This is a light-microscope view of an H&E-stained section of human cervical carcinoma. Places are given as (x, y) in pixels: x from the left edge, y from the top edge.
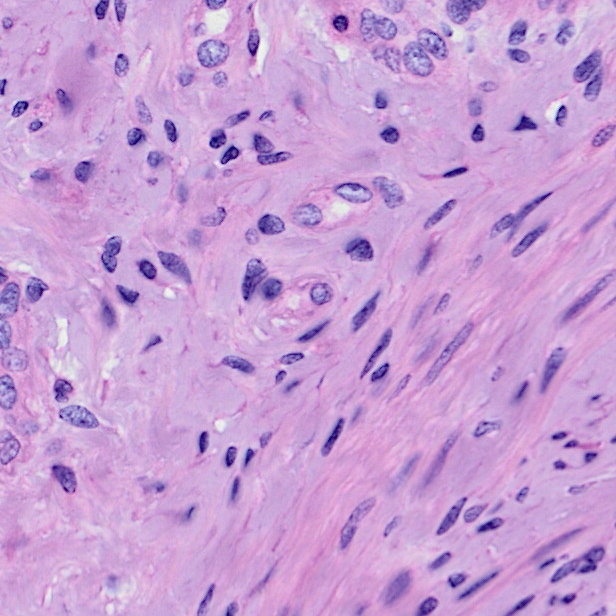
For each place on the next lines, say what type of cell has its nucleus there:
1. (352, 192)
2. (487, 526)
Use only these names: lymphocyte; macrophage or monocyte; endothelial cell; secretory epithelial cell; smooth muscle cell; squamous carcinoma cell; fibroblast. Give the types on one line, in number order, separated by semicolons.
endothelial cell; fibroblast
